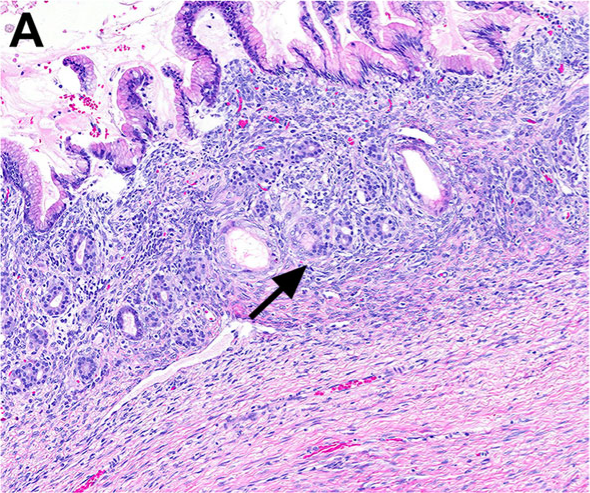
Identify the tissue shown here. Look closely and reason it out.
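Tall columnar epithelium with pale apical mucin lines the top edge. Pale mucoid material lies above the lining. Cellular stroma with small glands lies beneath. The answer: mucinous cysts.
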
